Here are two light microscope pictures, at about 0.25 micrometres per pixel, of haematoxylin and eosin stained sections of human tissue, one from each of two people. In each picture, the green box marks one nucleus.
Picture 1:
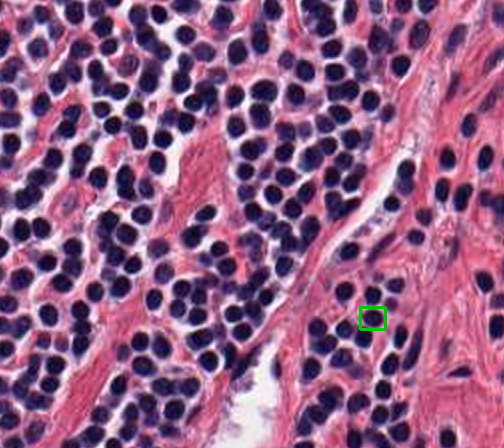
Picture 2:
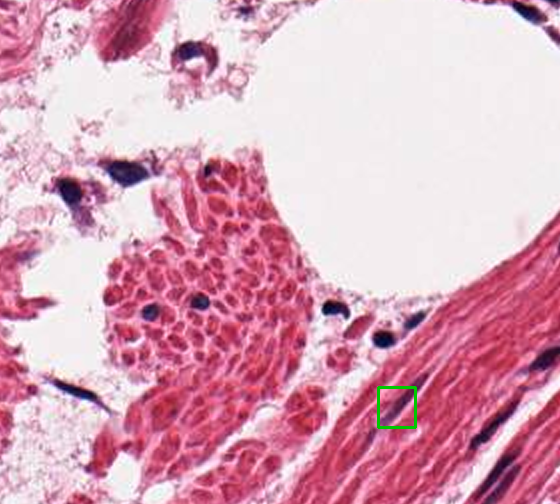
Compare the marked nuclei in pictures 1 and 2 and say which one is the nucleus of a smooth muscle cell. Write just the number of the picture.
2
